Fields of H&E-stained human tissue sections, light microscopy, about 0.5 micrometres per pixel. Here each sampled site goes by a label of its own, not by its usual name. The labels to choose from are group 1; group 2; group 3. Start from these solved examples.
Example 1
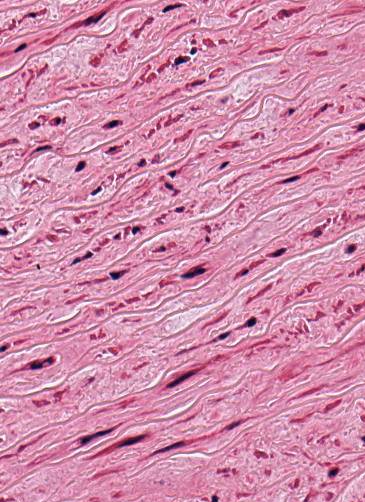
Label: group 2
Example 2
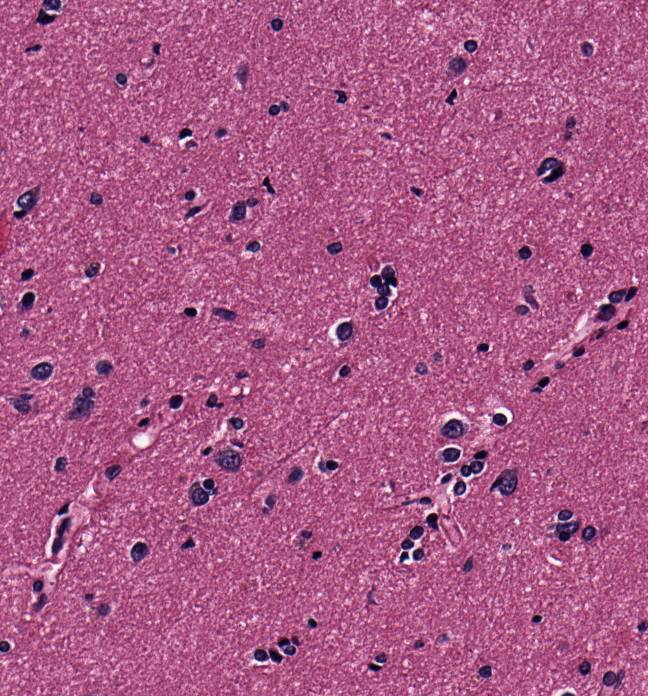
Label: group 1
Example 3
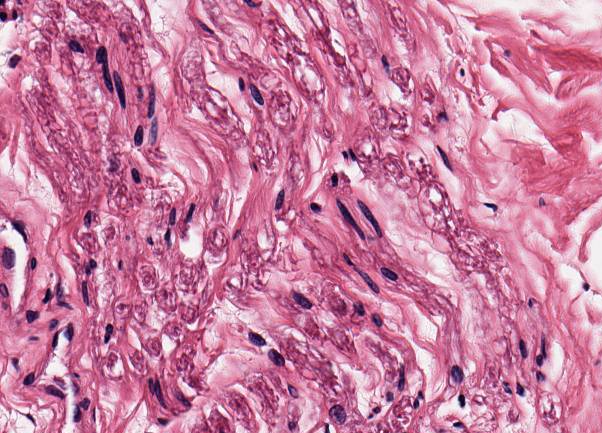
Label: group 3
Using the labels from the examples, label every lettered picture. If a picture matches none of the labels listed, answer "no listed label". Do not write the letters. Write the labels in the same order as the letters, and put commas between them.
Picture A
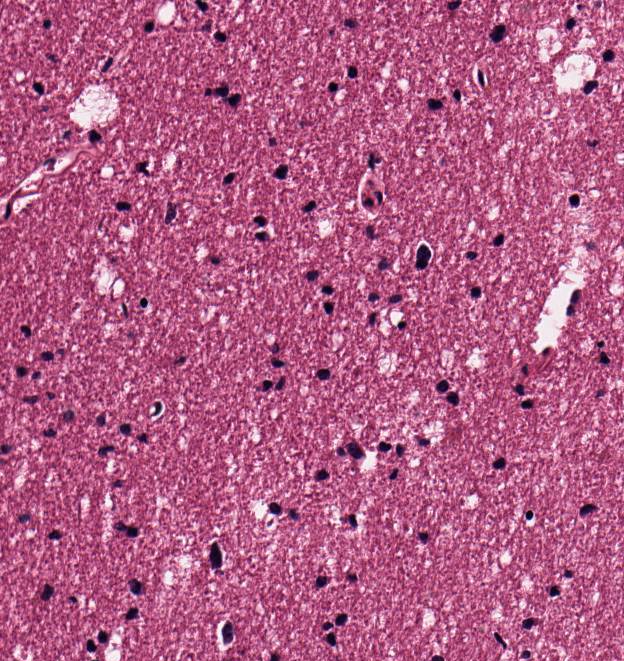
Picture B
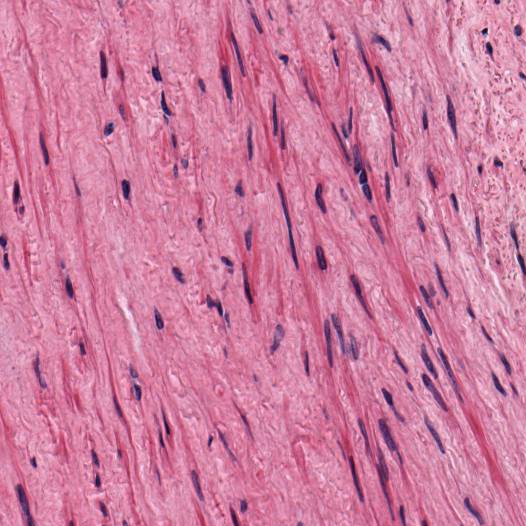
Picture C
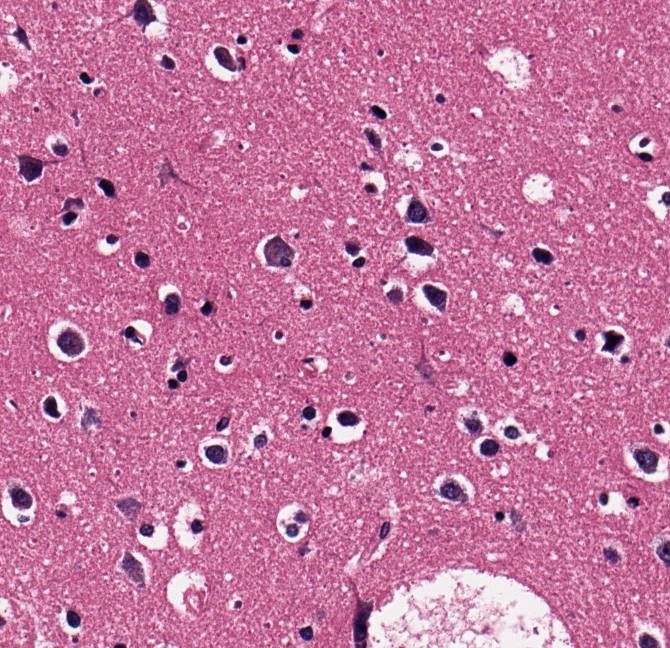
group 1, no listed label, group 1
